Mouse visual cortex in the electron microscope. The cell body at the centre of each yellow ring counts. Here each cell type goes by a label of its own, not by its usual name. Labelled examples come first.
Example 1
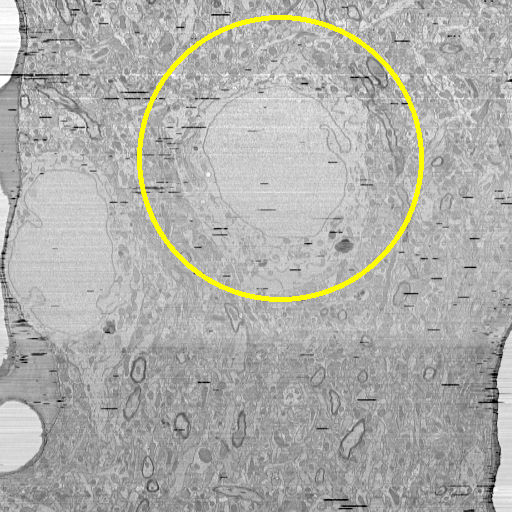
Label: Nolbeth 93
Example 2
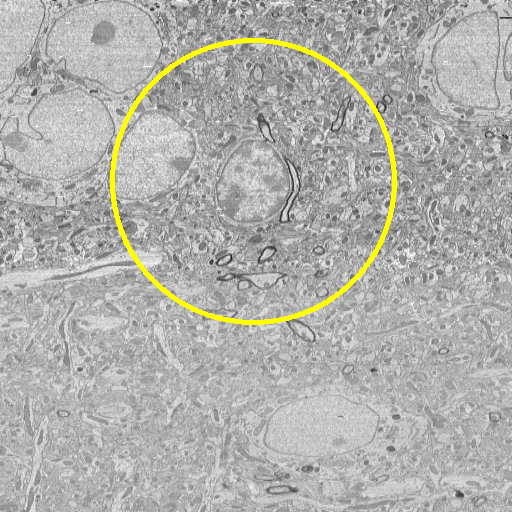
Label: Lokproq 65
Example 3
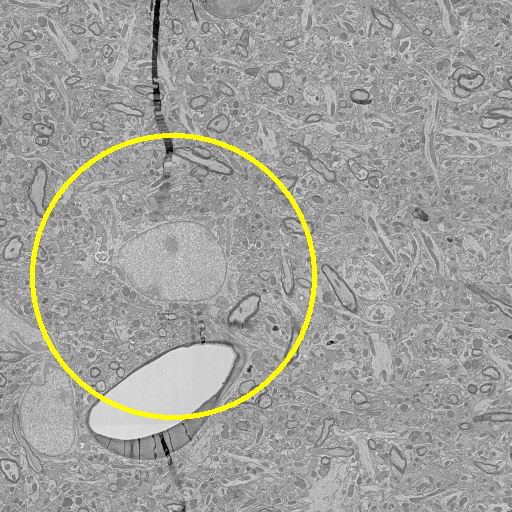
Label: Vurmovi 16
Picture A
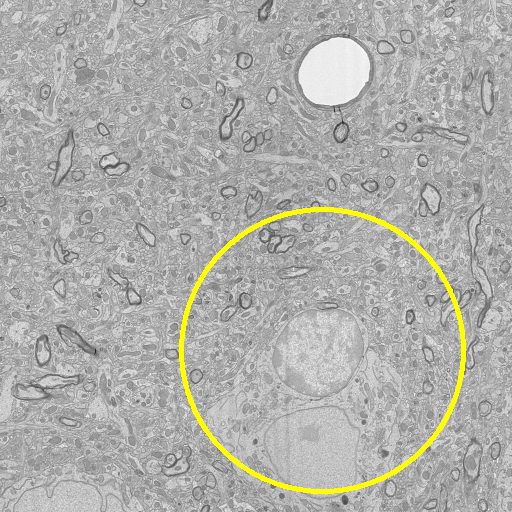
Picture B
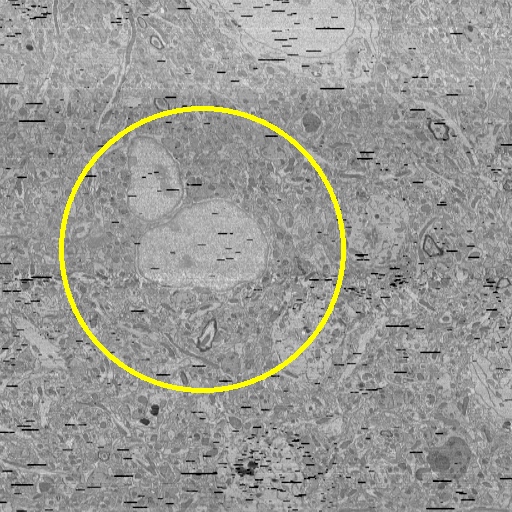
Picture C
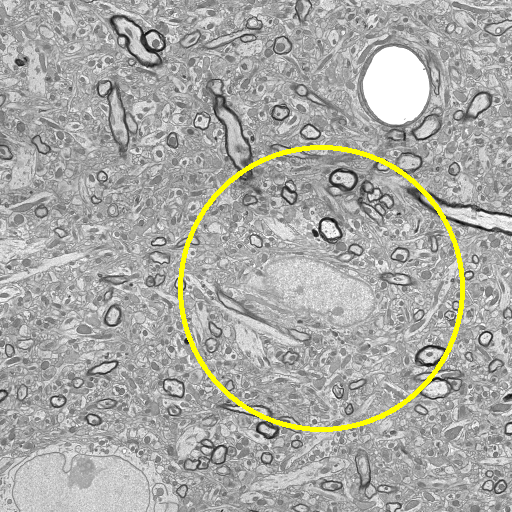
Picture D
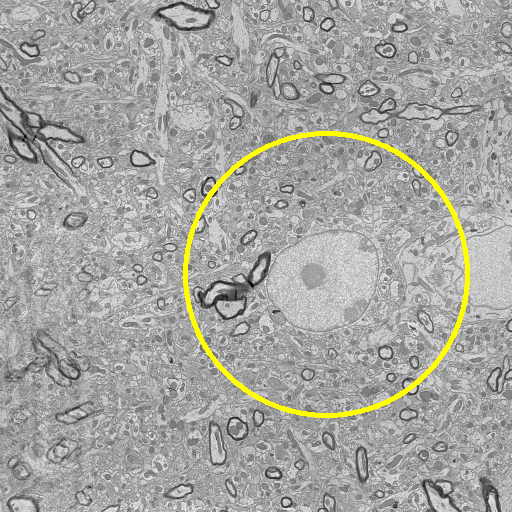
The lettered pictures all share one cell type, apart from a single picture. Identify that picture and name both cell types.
Odd one out: A (Lokproq 65). The rest: Vurmovi 16.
